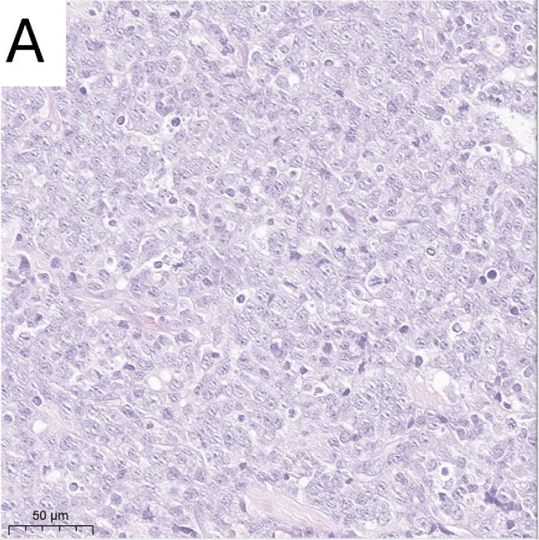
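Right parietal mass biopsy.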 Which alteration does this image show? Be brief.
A: Diffuse infiltration by medium to large lymphocytes in dense sheet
